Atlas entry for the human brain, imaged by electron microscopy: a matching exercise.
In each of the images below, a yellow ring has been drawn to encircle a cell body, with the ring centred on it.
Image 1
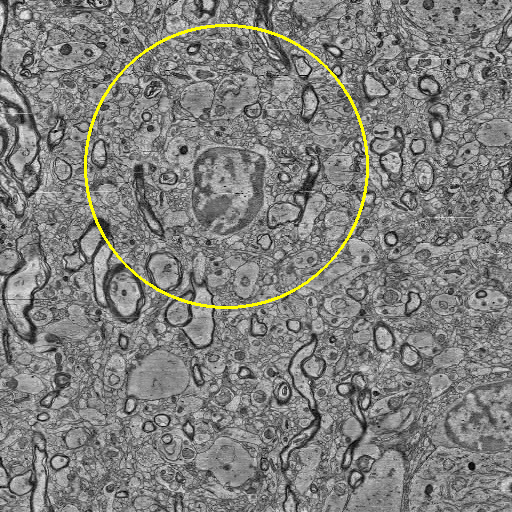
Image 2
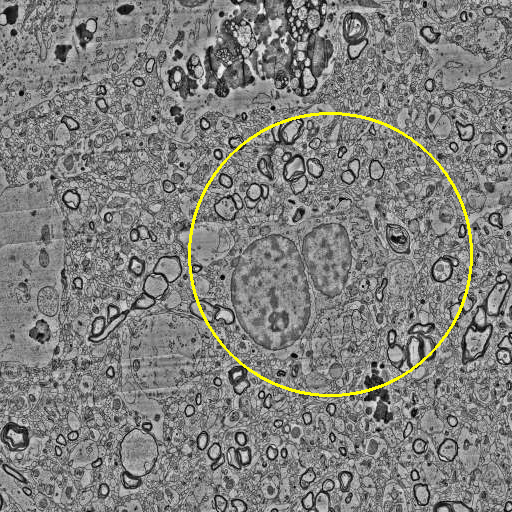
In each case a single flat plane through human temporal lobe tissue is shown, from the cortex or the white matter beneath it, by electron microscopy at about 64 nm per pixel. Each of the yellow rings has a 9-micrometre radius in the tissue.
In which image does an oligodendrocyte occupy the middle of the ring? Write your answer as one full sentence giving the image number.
In image 2, the ring is centred on the cell in question.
